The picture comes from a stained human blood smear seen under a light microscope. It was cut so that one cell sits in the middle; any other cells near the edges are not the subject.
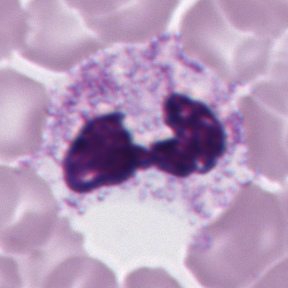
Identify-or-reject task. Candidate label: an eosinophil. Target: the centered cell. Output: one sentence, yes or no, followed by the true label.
No, it is a segmented neutrophil and not an eosinophil that occupies the middle of the crop.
